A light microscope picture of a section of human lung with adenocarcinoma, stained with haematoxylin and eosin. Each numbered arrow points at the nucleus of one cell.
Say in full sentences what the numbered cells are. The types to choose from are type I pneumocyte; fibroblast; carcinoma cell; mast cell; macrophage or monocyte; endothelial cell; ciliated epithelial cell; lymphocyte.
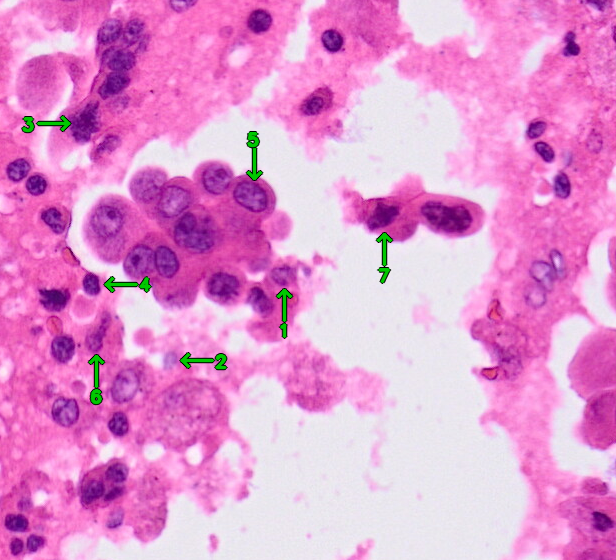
Cells 1, 2 and 6 are macrophages or monocytes. Cells 3, 5 and 7 are carcinoma cells. Cell 4 is a lymphocyte.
